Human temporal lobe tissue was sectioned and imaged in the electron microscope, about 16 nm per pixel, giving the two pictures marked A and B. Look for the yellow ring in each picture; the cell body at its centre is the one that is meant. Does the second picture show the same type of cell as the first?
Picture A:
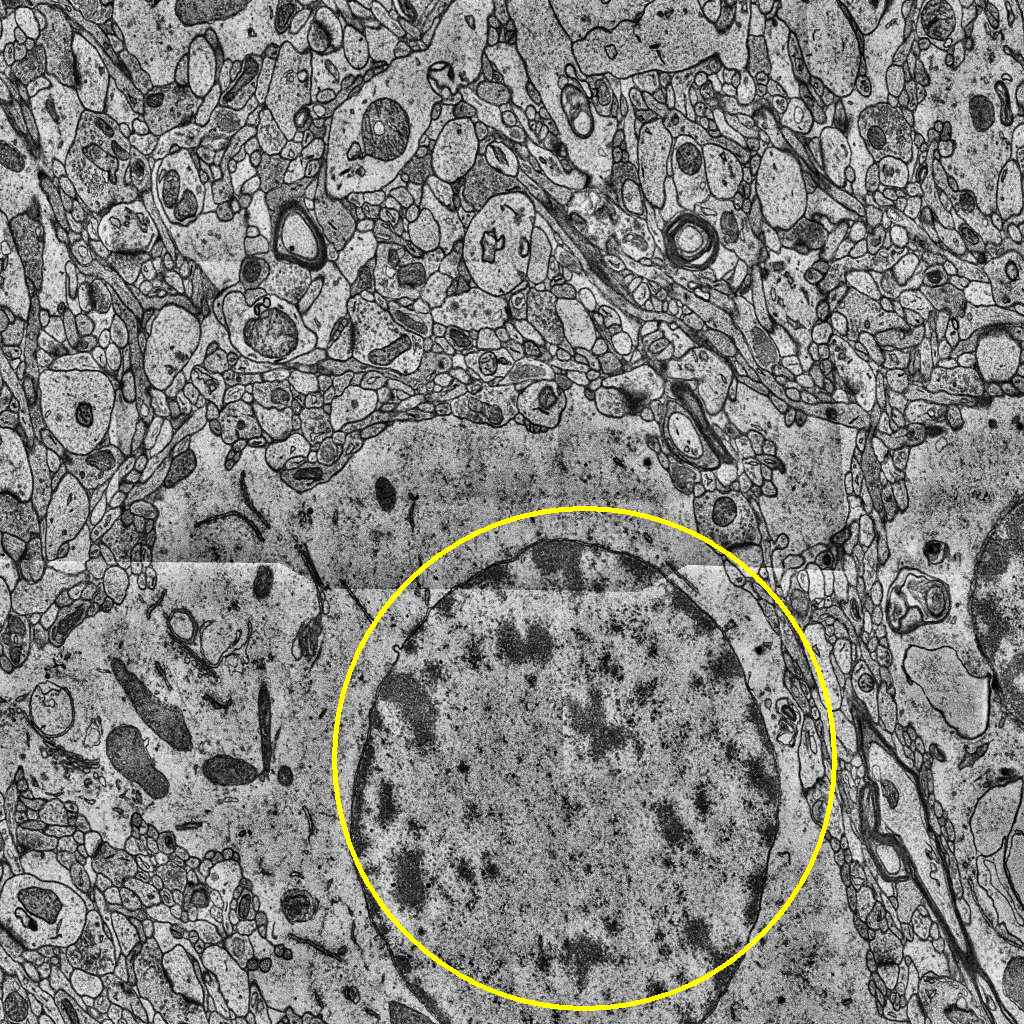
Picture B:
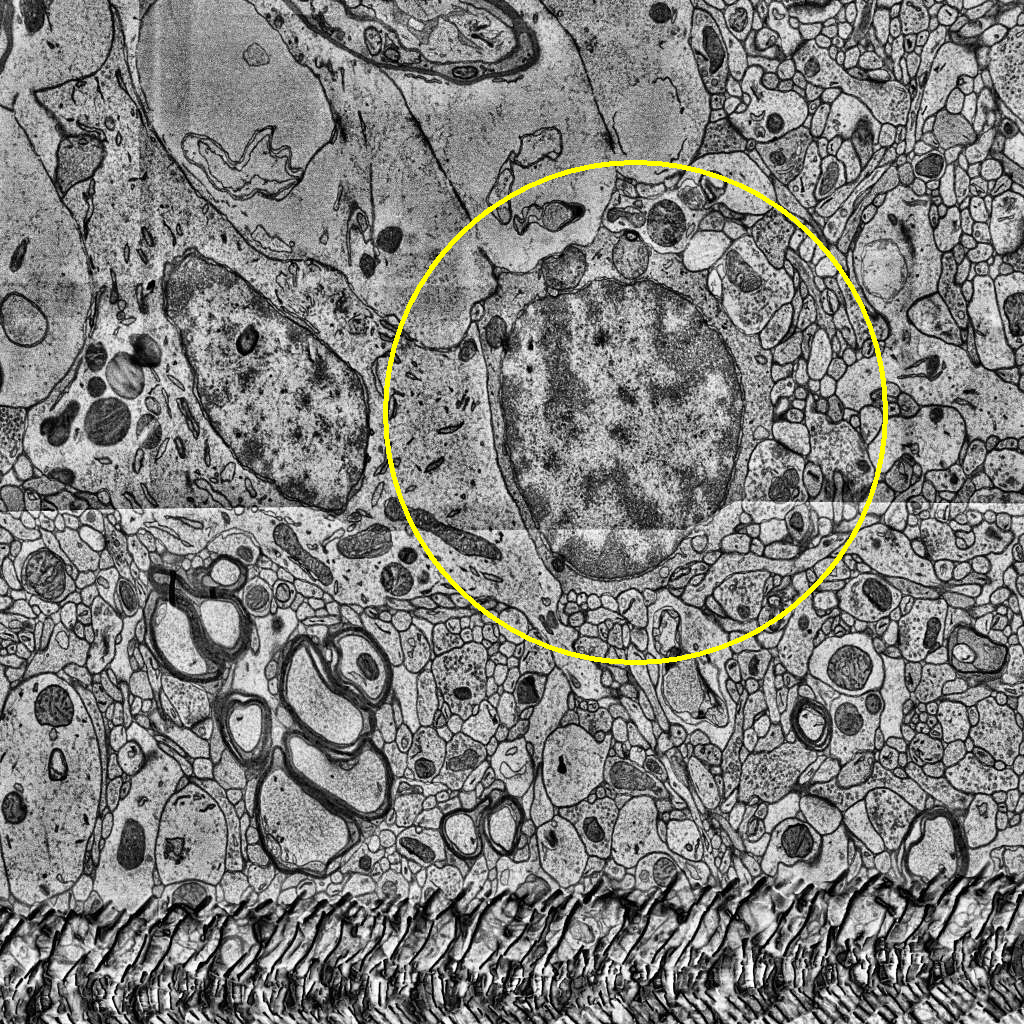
No, they differ: the cell is an astrocyte in picture A and an oligodendrocyte in picture B.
